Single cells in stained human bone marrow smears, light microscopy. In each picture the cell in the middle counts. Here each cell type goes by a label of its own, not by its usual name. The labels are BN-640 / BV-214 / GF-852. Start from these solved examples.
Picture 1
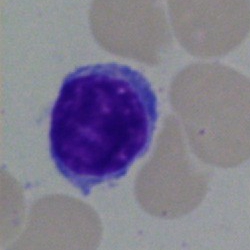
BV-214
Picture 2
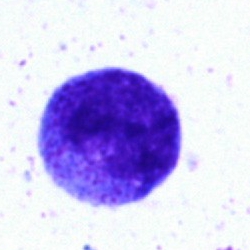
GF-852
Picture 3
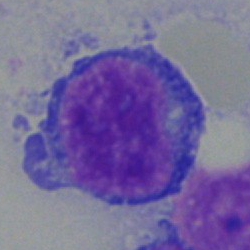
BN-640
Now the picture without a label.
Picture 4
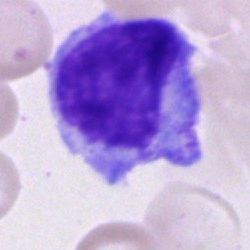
GF-852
